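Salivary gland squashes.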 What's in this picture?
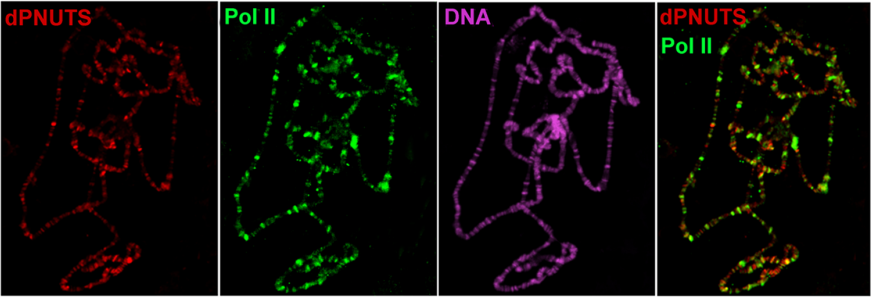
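Spread giant polytene chromosomes are shown, their long thick arms looping out from a dense central region. The red and green stains both lie as many discrete dots and short bands scattered along all the arms, and in the overlay many red and green sites lie at the same places, giving yellow.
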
